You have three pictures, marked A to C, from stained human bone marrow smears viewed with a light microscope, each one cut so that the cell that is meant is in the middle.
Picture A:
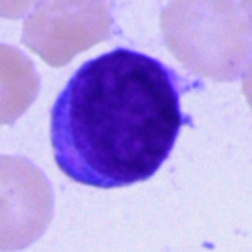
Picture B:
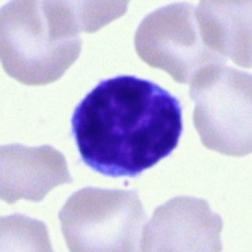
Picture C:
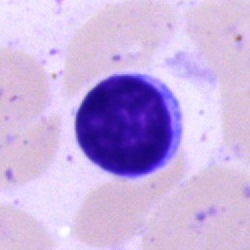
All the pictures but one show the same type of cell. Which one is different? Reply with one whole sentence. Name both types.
Picture A is the odd one out: it shows a blast, while the others show lymphocytes.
